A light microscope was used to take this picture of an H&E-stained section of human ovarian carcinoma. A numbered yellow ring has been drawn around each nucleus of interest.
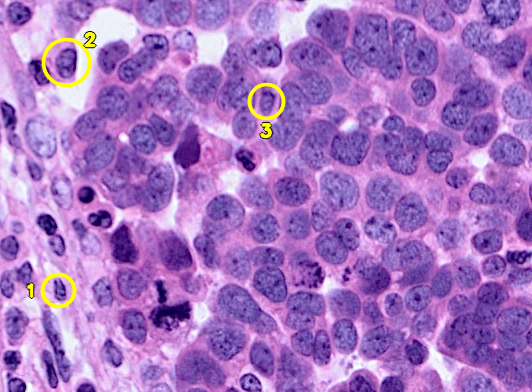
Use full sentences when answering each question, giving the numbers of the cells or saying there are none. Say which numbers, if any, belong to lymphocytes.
Cell 1 is a lymphocyte, and it is the only one.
